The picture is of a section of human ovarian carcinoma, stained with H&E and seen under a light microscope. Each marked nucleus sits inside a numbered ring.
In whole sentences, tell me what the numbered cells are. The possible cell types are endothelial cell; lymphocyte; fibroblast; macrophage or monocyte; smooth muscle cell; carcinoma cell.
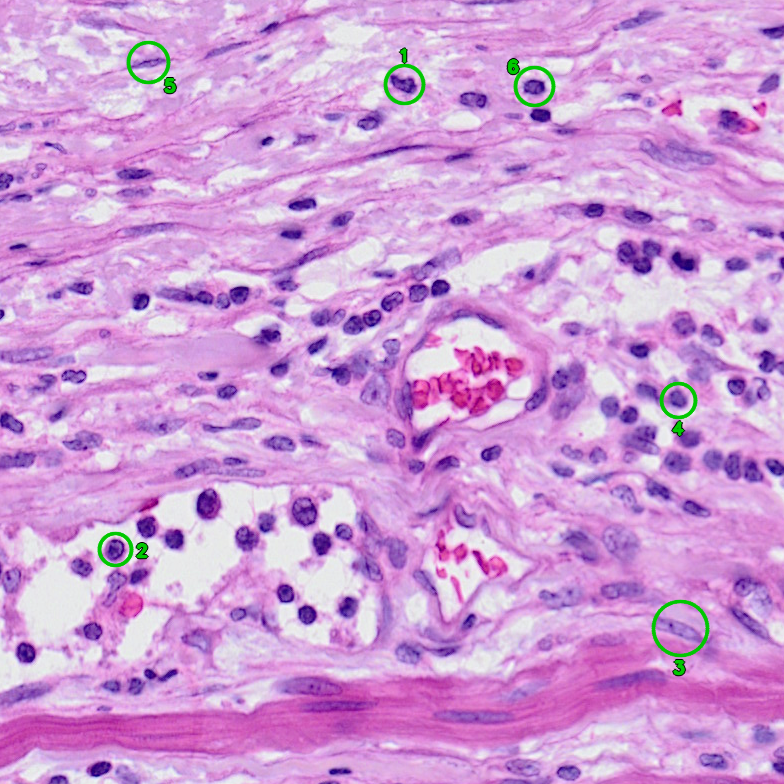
Cells 1, 2, 4 and 6 are lymphocytes. Cells 3 and 5 are fibroblasts.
